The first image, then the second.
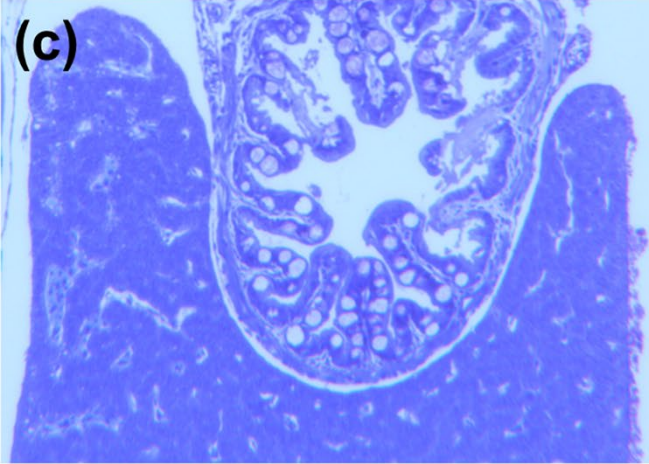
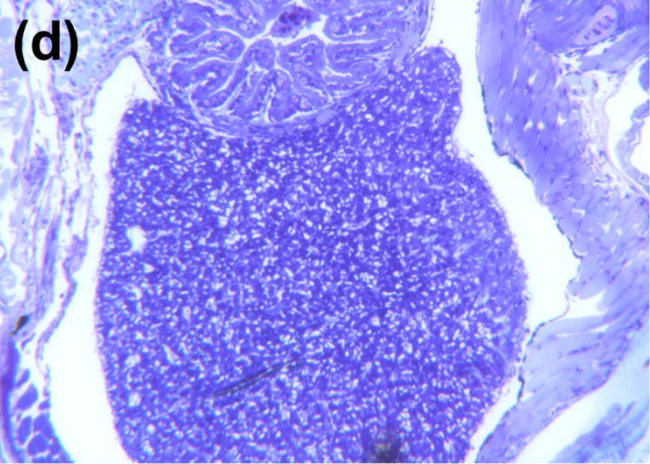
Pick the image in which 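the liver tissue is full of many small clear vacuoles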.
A: The second image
